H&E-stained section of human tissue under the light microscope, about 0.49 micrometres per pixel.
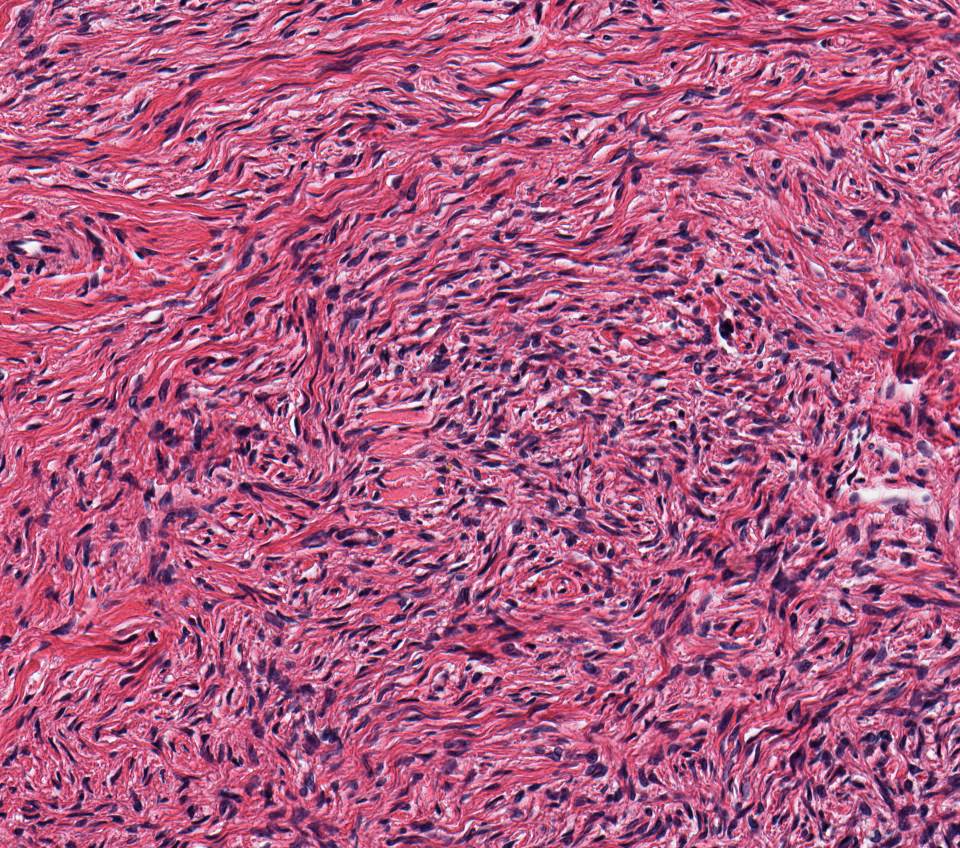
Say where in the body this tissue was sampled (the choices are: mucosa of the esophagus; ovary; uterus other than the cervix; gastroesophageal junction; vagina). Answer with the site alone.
ovary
